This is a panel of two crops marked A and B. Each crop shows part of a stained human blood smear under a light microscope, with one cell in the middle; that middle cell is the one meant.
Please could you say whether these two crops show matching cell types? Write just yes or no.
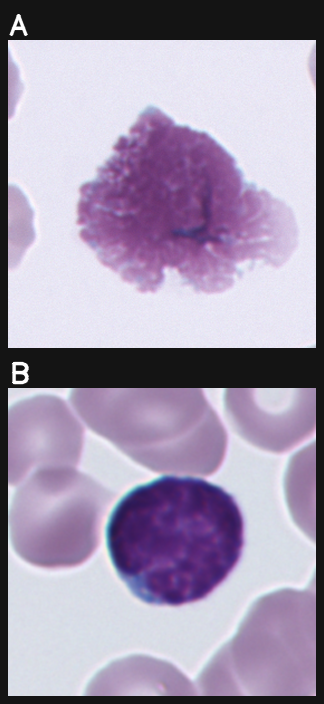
no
